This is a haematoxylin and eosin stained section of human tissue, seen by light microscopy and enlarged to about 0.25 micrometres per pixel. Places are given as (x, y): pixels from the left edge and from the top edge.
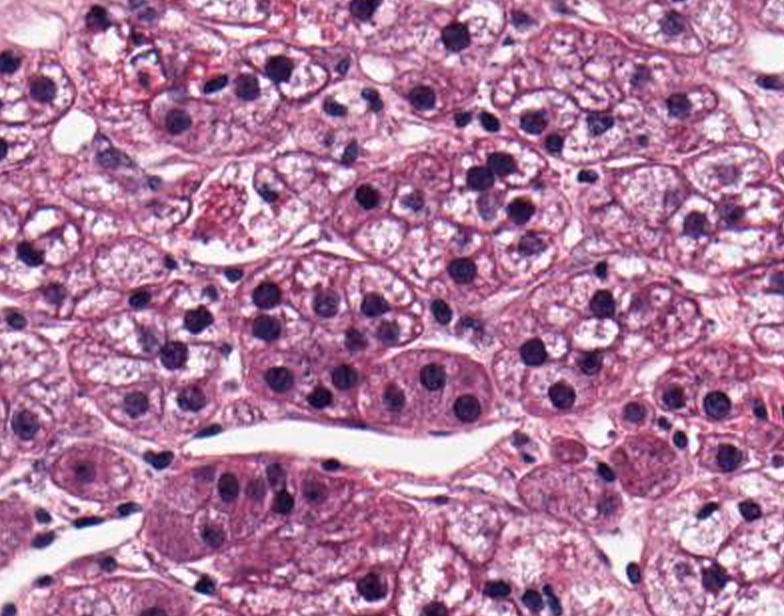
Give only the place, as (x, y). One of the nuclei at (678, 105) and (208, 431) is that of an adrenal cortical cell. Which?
(678, 105)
